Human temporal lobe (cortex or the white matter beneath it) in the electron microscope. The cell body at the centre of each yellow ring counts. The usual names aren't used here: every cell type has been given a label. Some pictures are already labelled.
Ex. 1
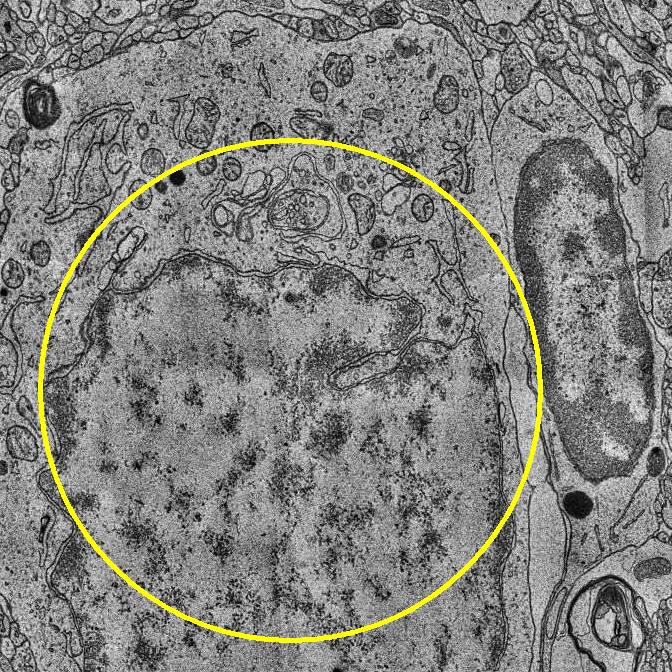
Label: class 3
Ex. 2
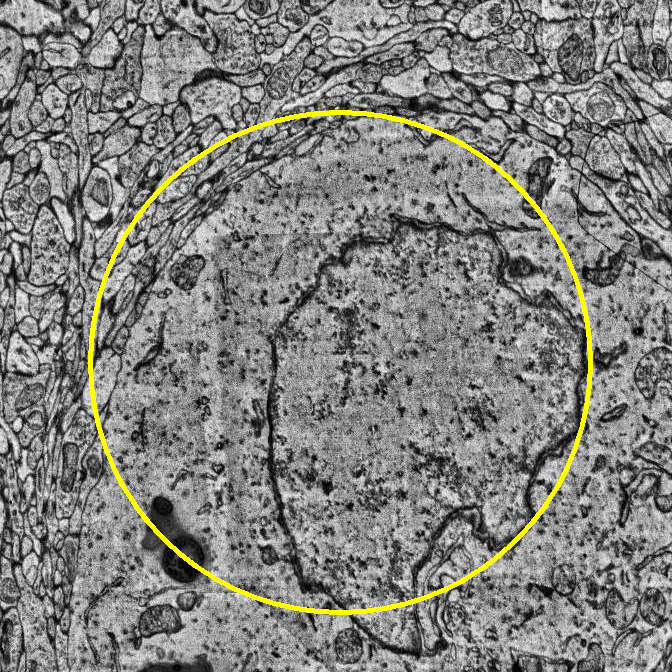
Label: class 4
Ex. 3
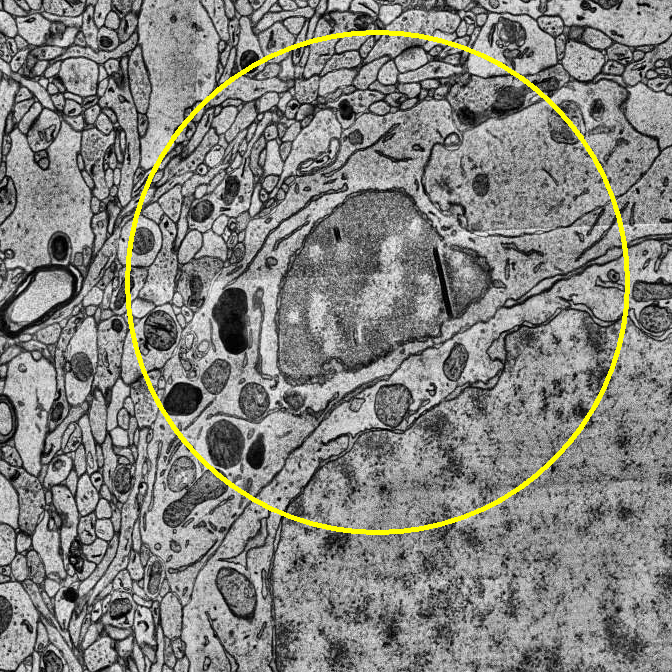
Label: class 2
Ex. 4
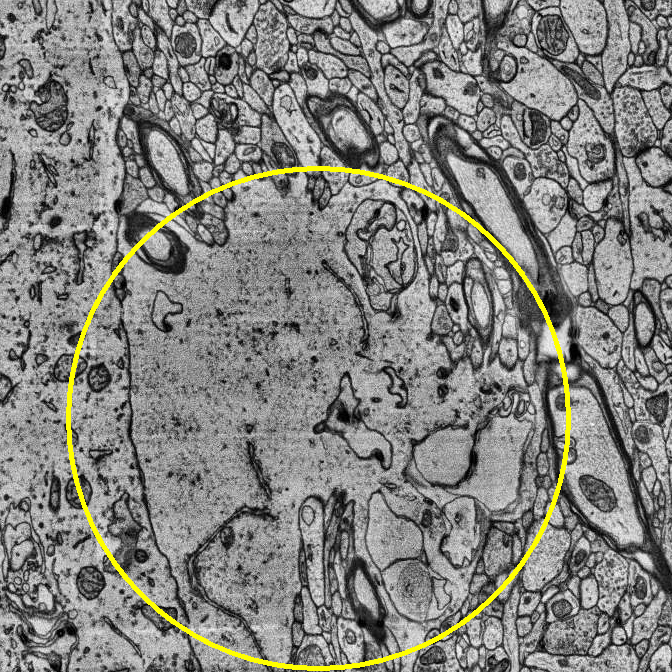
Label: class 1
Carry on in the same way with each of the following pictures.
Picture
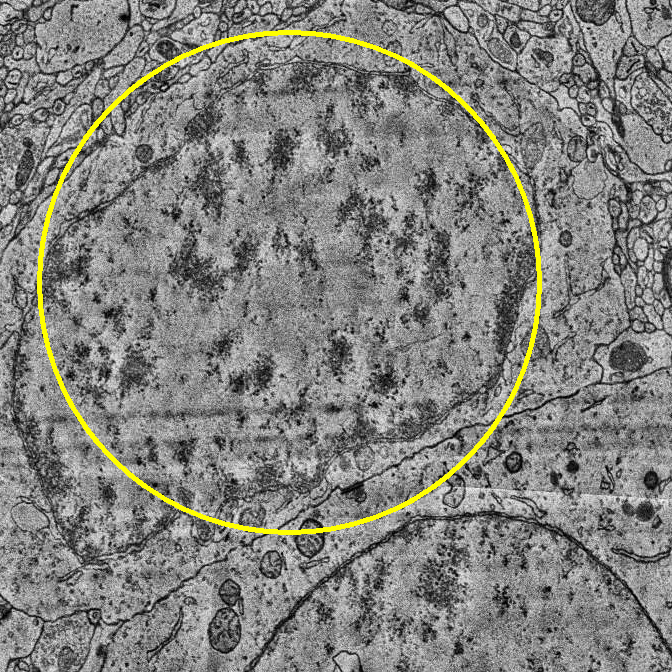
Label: class 3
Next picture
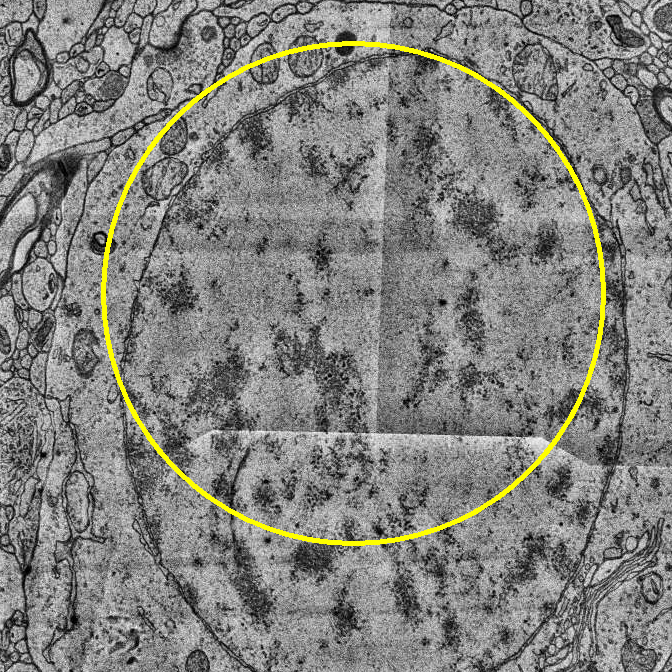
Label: class 4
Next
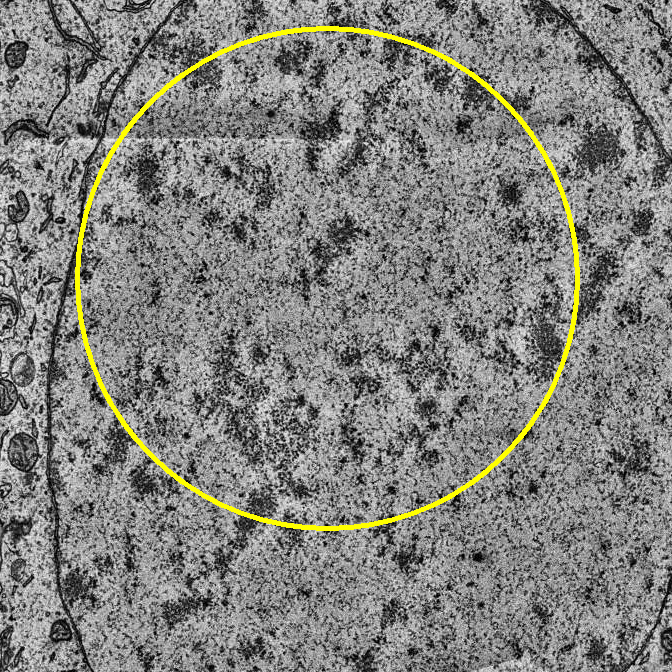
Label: class 4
